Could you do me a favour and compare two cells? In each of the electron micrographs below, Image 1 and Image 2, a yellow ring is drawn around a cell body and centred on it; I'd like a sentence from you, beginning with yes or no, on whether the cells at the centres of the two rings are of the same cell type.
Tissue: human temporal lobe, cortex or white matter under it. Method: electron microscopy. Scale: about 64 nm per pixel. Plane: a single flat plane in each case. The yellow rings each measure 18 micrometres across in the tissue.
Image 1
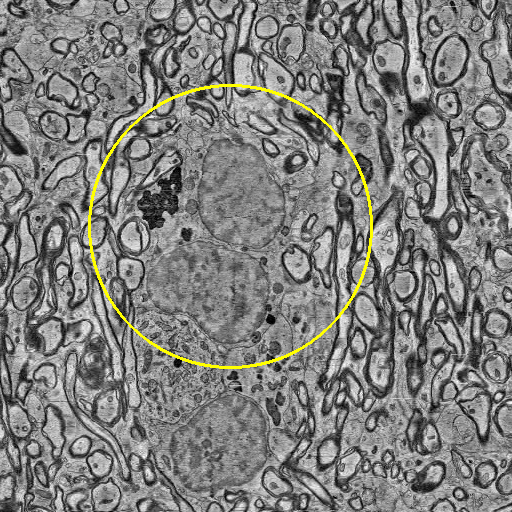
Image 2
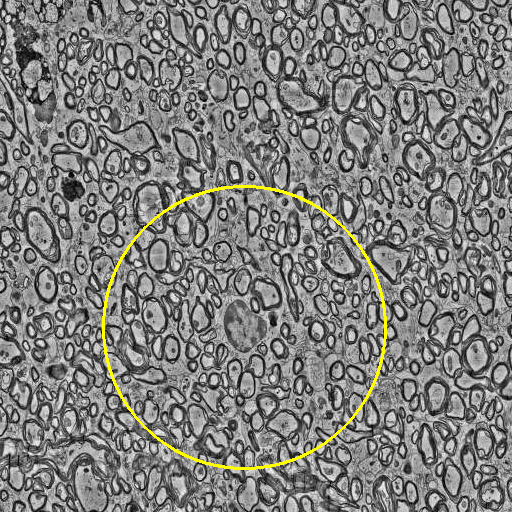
No, the two cells are of two cell types.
